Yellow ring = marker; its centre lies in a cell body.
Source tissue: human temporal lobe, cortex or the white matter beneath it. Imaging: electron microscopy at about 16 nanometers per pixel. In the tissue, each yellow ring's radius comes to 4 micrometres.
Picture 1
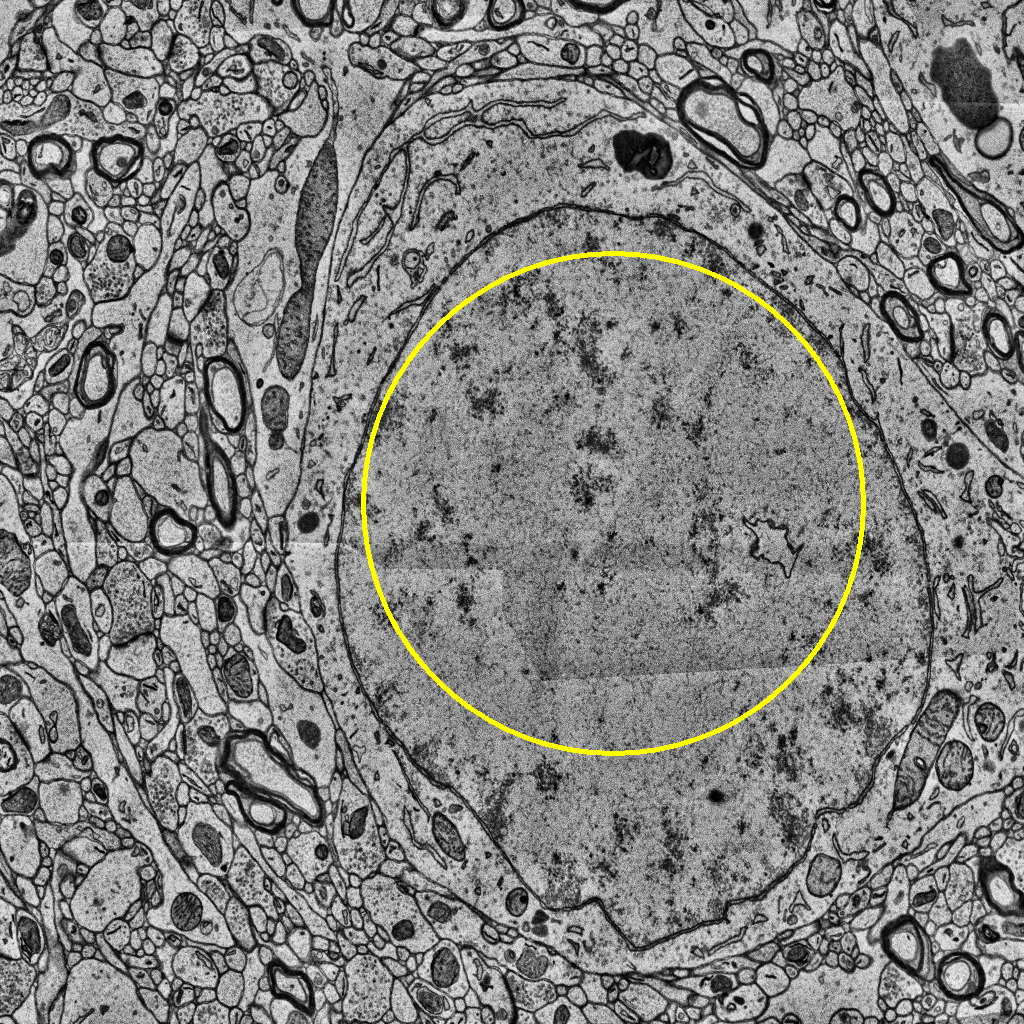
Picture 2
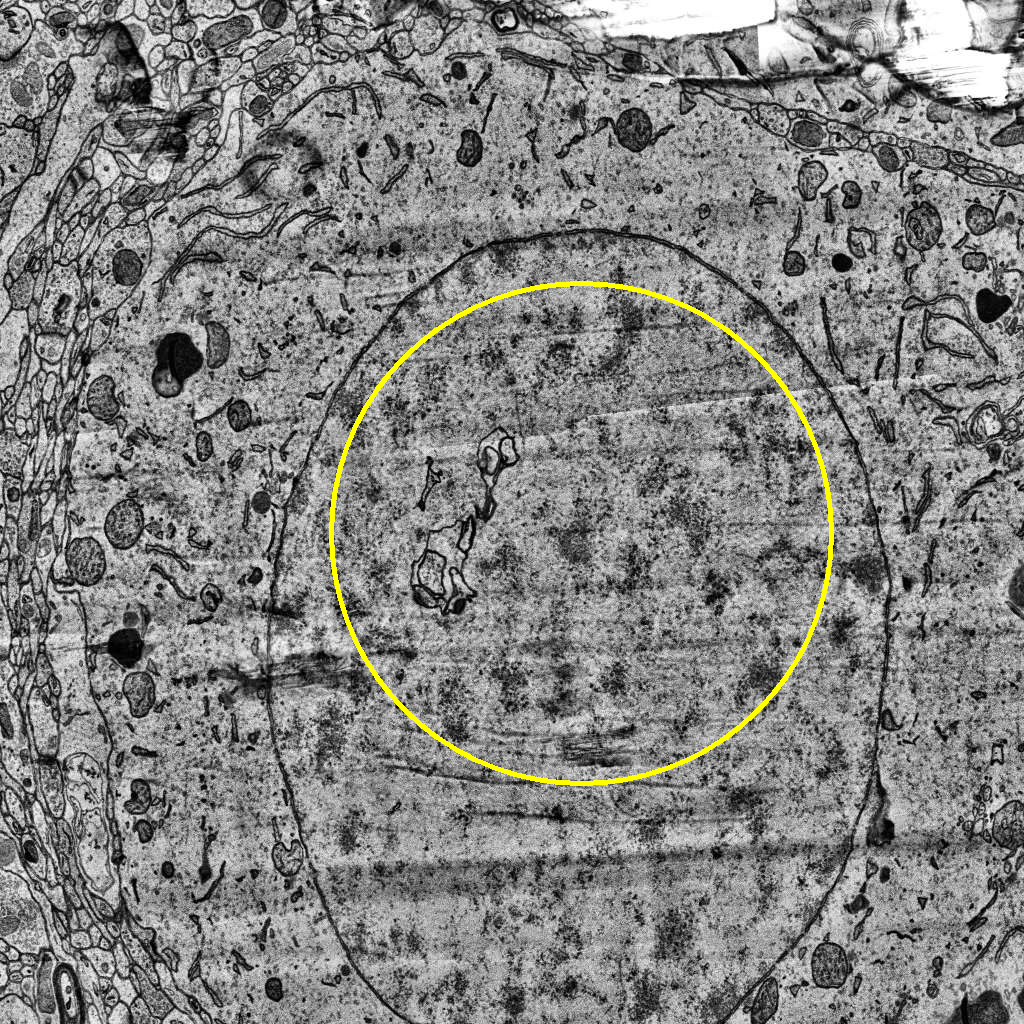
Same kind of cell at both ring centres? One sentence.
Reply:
Yes, they are the same kind of cell.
